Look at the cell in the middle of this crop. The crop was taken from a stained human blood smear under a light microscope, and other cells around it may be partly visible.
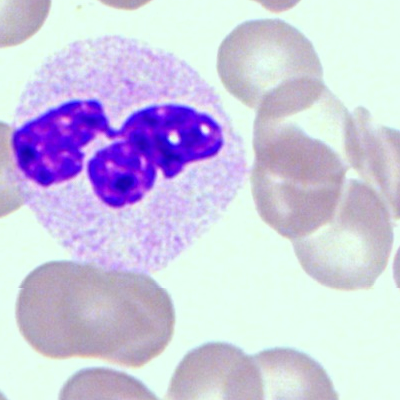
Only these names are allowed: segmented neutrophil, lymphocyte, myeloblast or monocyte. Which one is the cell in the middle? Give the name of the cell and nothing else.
segmented neutrophil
